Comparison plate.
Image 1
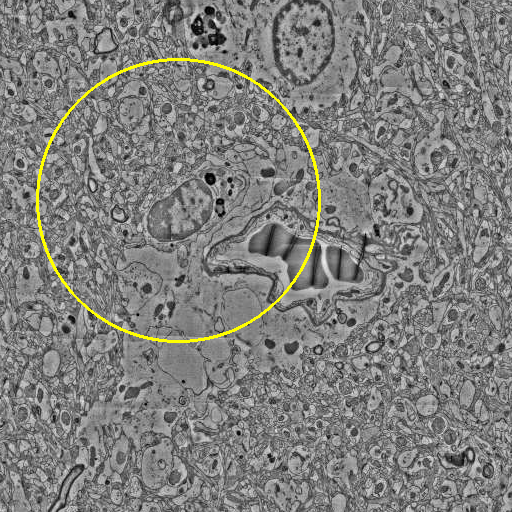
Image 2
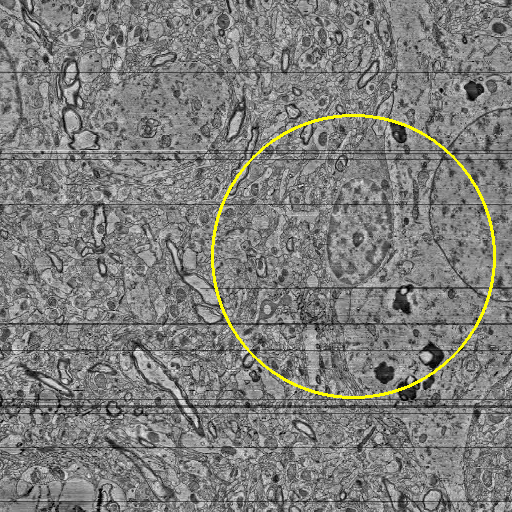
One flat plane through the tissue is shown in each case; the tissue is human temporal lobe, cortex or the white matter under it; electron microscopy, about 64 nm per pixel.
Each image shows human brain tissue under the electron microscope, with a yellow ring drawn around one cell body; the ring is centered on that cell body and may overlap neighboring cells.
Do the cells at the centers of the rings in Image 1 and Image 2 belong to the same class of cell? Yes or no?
no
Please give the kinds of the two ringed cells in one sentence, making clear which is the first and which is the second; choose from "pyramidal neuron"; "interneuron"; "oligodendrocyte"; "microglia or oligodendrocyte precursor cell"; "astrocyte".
In the second picture the ringed cell is an oligodendrocyte; in the first it is a microglial cell or oligodendrocyte precursor cell.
